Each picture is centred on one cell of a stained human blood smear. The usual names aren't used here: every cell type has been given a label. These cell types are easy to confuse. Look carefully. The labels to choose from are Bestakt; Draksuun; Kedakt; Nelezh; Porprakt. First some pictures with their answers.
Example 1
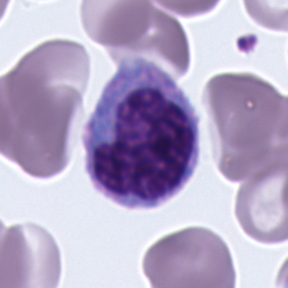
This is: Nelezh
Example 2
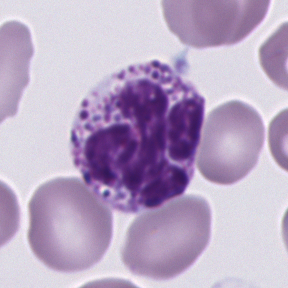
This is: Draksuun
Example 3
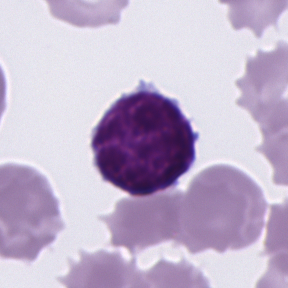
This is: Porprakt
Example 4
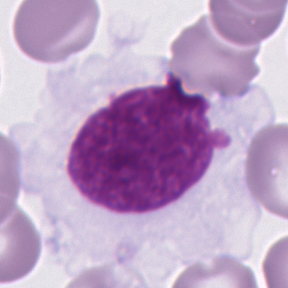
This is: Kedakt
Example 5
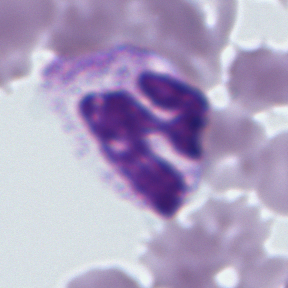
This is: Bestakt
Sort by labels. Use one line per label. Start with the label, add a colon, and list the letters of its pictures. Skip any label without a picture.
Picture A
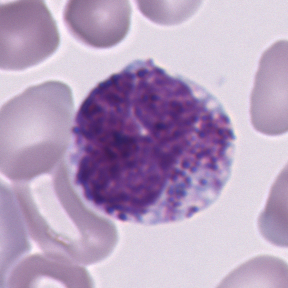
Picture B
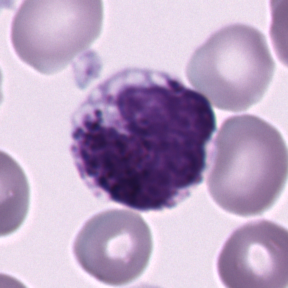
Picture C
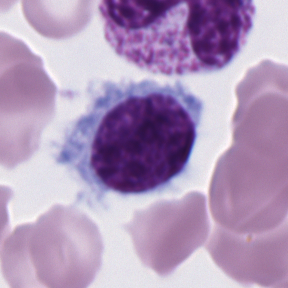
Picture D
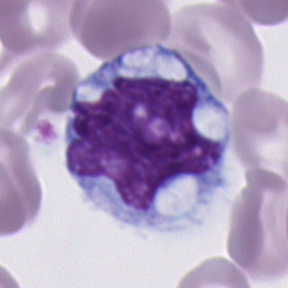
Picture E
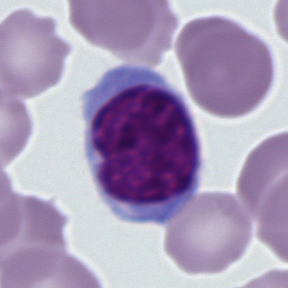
Draksuun: A, B
Kedakt: C
Nelezh: D
Porprakt: E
